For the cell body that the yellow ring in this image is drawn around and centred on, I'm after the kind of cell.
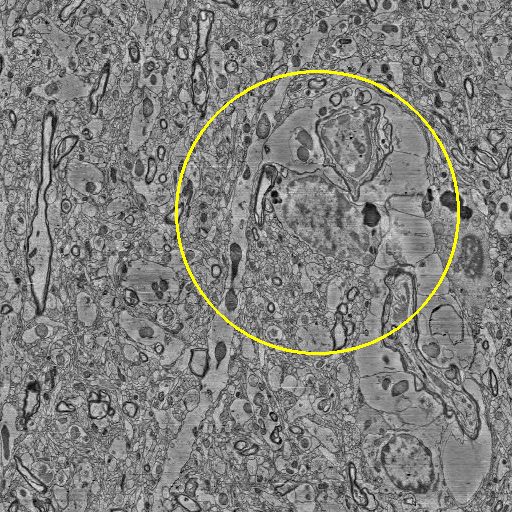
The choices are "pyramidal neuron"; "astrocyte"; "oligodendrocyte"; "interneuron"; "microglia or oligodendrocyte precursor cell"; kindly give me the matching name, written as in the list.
oligodendrocyte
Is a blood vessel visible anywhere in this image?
Yes.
